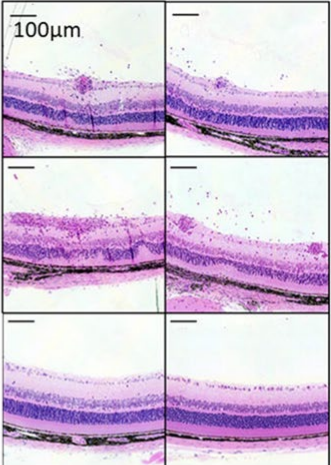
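Sections of the posterior eye show the retina as stacked layers, with two bands of densely packed purple nuclei separated by pale pink fibrous layers. A black pigmented band lies along the outer edge, beneath the nuclear layers. In the upper images, clusters of purple cells sit on the inner retinal surface, and scattered dark nuclei lie in the pale space above it. In the bottom images the layers run flat and regular, with a clean inner surface and no cells above it.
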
